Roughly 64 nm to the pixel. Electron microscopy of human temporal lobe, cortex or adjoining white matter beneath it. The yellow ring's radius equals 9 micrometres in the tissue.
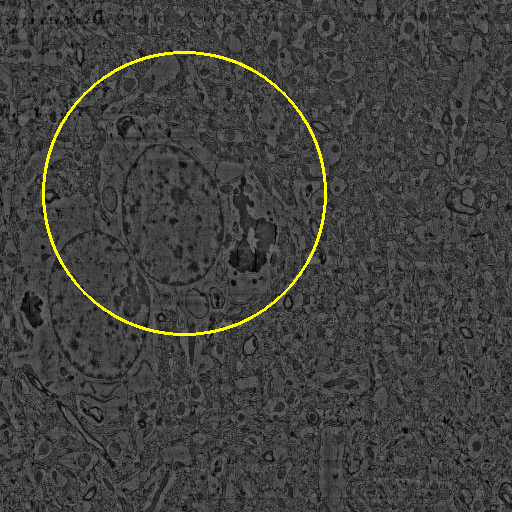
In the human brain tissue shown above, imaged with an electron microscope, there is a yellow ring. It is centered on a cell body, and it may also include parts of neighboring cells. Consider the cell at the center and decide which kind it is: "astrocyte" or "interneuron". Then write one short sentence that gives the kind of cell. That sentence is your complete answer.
This centered cell body is that of an astrocyte.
